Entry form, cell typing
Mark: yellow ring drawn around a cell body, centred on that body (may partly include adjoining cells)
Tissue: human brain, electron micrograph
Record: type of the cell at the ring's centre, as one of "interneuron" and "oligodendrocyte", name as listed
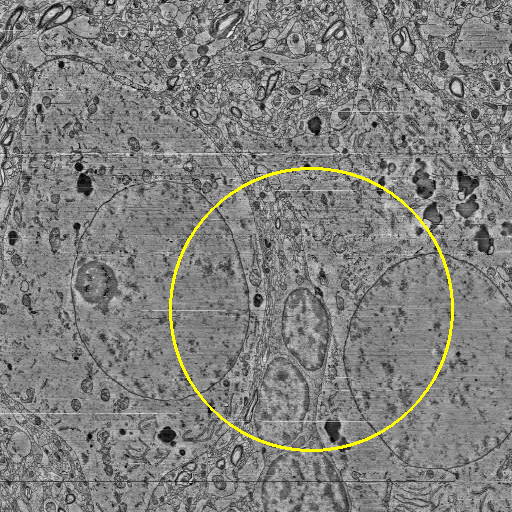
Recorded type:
oligodendrocyte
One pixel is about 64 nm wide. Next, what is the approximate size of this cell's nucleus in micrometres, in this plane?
At approximately 5 by 3 micrometres, the nucleus is clearly longer than it is wide in this plane.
